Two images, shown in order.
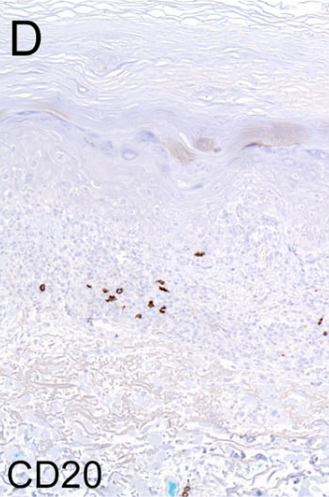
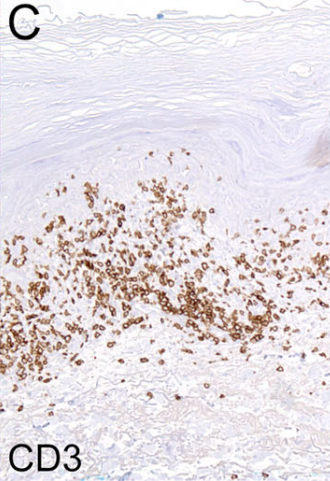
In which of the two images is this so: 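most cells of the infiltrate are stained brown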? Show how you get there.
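The second image. First image: only a handful of brown cells among an unstained infiltrate. Second image: a dense band of many brown cells in the upper dermis.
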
